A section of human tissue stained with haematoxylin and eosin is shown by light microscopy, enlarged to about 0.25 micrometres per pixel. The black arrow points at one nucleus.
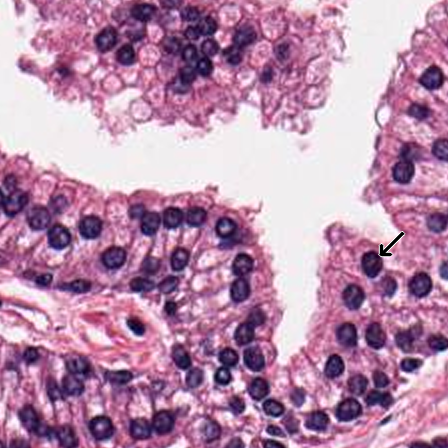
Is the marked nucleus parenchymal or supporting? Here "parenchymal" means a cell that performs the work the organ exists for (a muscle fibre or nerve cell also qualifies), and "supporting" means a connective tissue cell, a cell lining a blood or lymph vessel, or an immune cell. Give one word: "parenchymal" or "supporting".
parenchymal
